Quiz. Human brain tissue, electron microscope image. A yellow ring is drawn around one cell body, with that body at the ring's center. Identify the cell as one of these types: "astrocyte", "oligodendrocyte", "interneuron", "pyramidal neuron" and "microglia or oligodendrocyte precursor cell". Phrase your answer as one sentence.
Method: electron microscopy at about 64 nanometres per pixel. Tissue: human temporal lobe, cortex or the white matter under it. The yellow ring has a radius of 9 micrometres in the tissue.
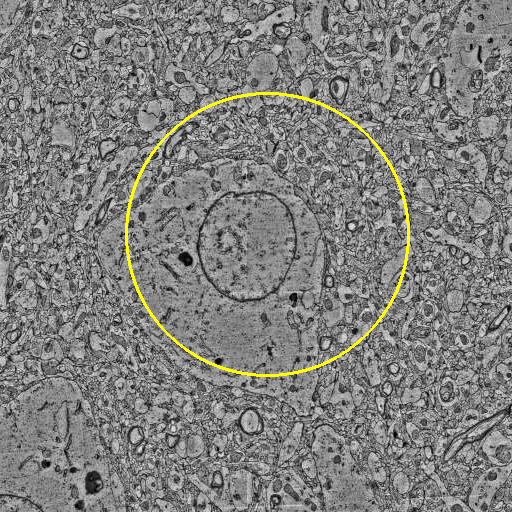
At the center of the ring sits a pyramidal neuron.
